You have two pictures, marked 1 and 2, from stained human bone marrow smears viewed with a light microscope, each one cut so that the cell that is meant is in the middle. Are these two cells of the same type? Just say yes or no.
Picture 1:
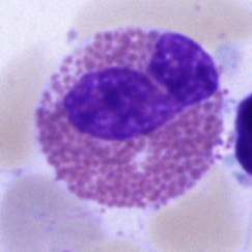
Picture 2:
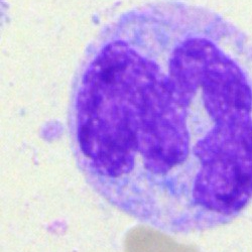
no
